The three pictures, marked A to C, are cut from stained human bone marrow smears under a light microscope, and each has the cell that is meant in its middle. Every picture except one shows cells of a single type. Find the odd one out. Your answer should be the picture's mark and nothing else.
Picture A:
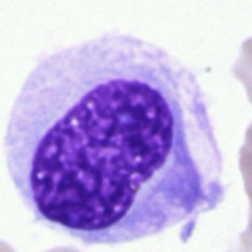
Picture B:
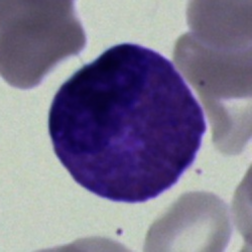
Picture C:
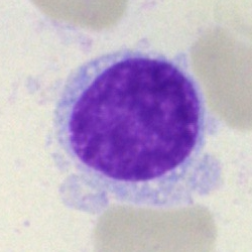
B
